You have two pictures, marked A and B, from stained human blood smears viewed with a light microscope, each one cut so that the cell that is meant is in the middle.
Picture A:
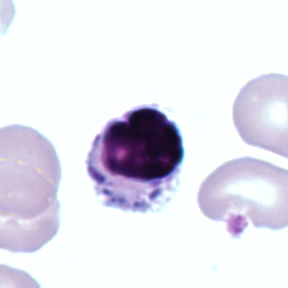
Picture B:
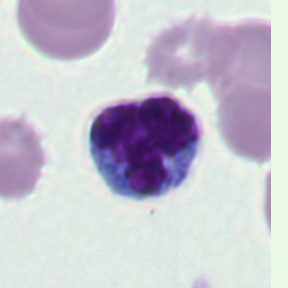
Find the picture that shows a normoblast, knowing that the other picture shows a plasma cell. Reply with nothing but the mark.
A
